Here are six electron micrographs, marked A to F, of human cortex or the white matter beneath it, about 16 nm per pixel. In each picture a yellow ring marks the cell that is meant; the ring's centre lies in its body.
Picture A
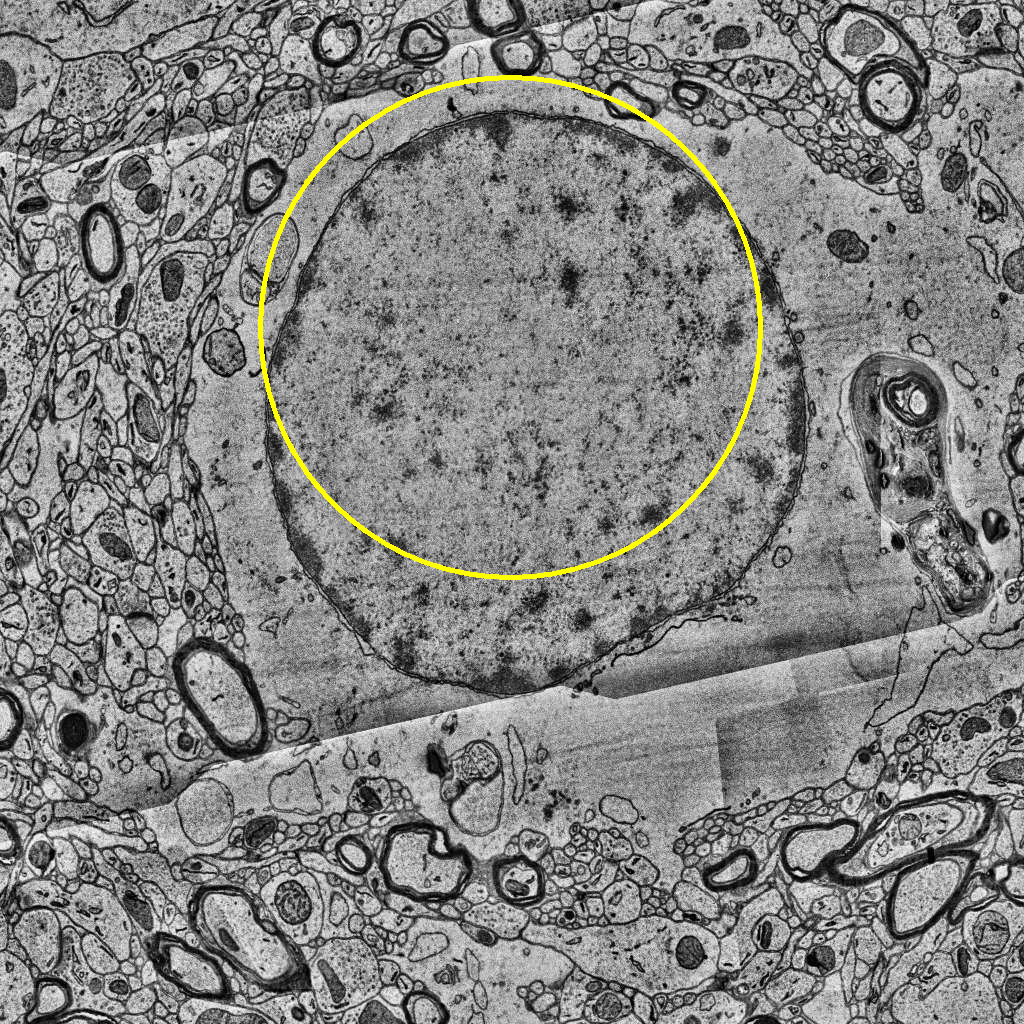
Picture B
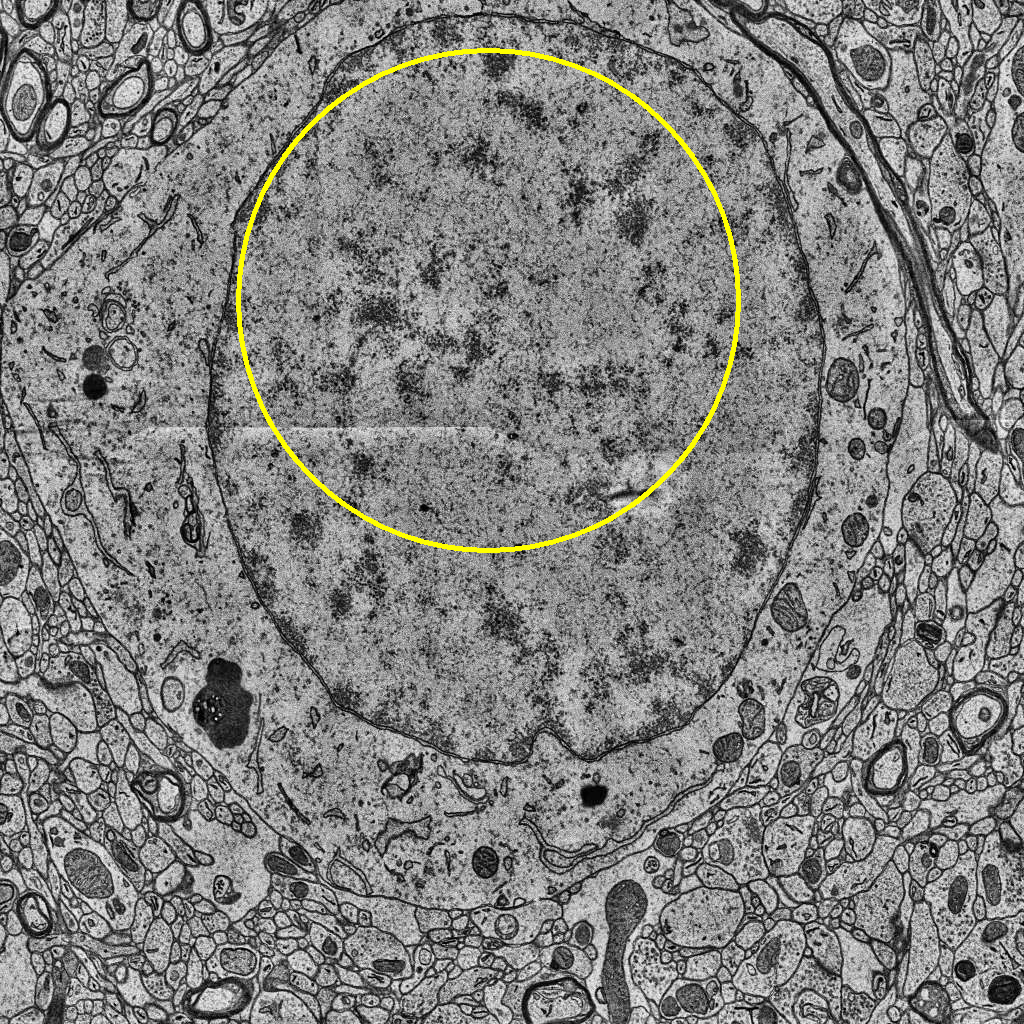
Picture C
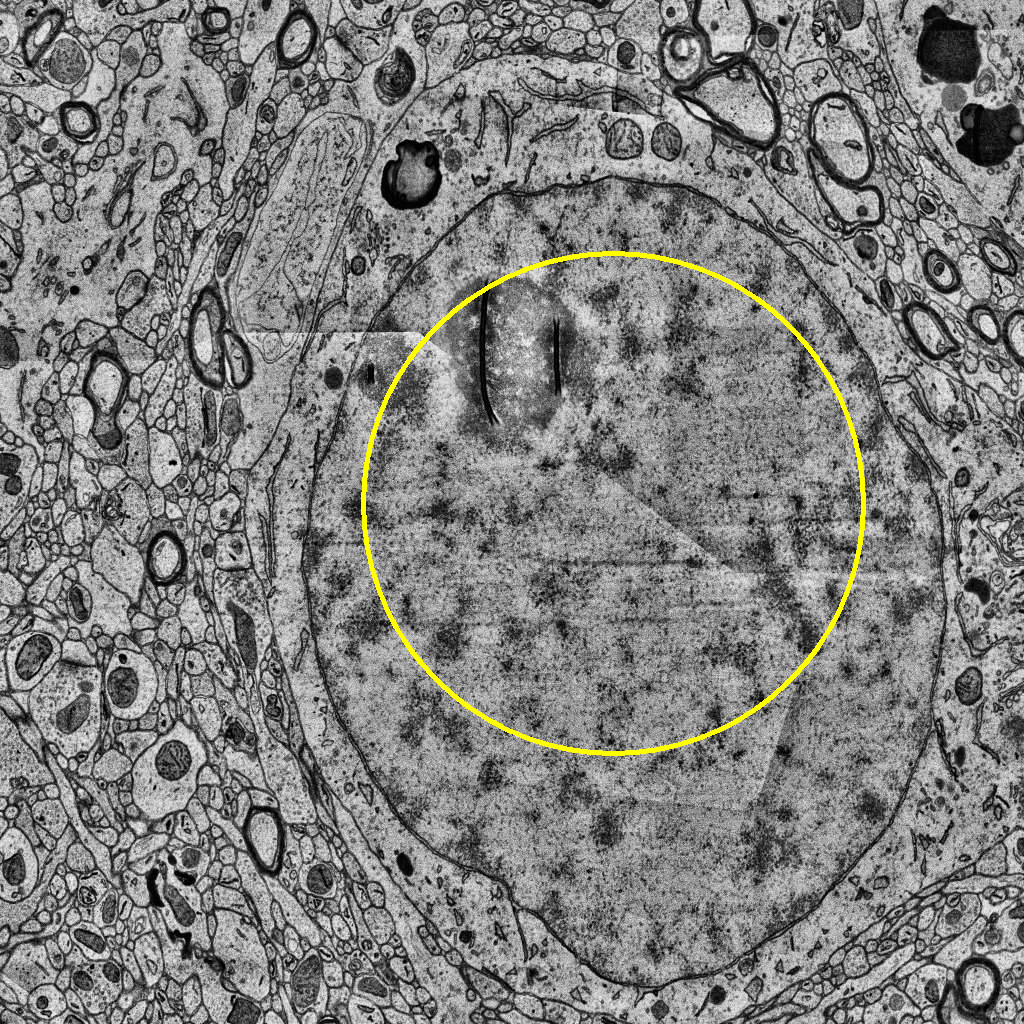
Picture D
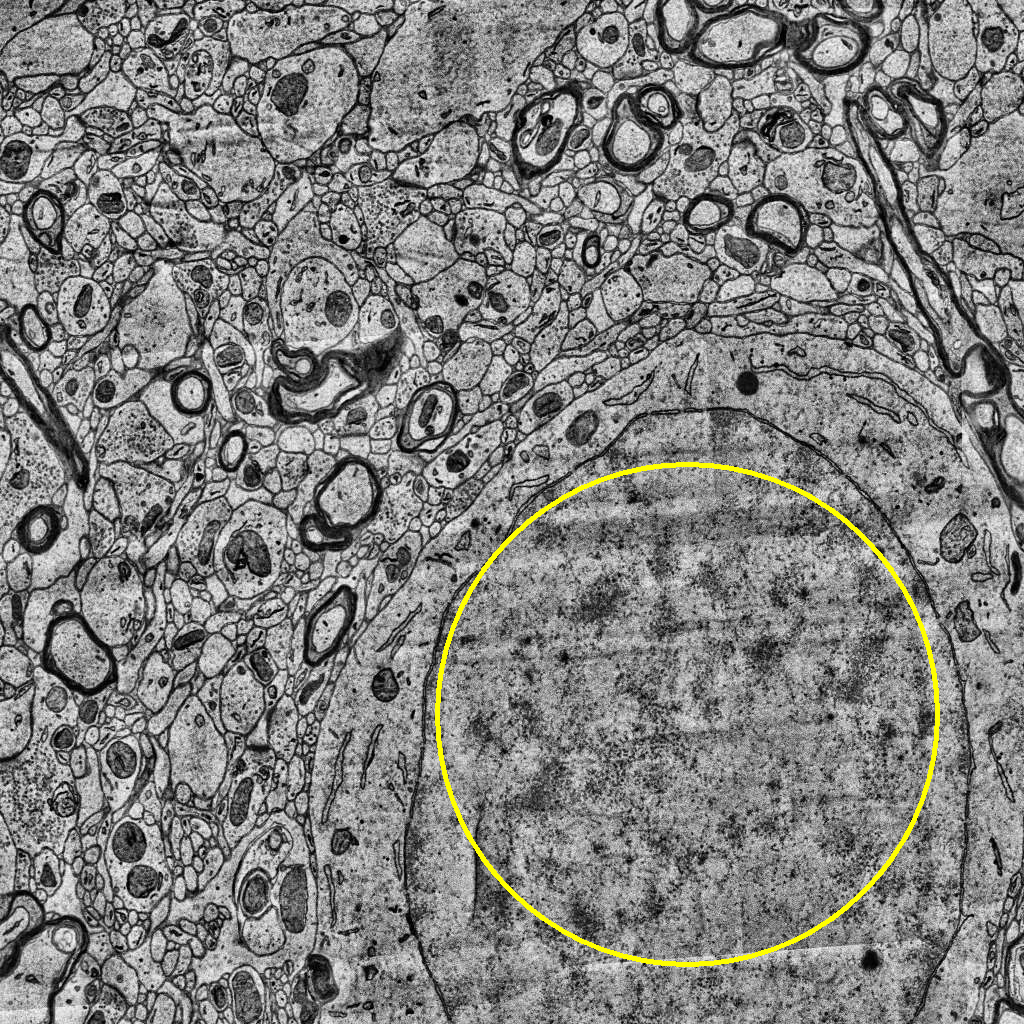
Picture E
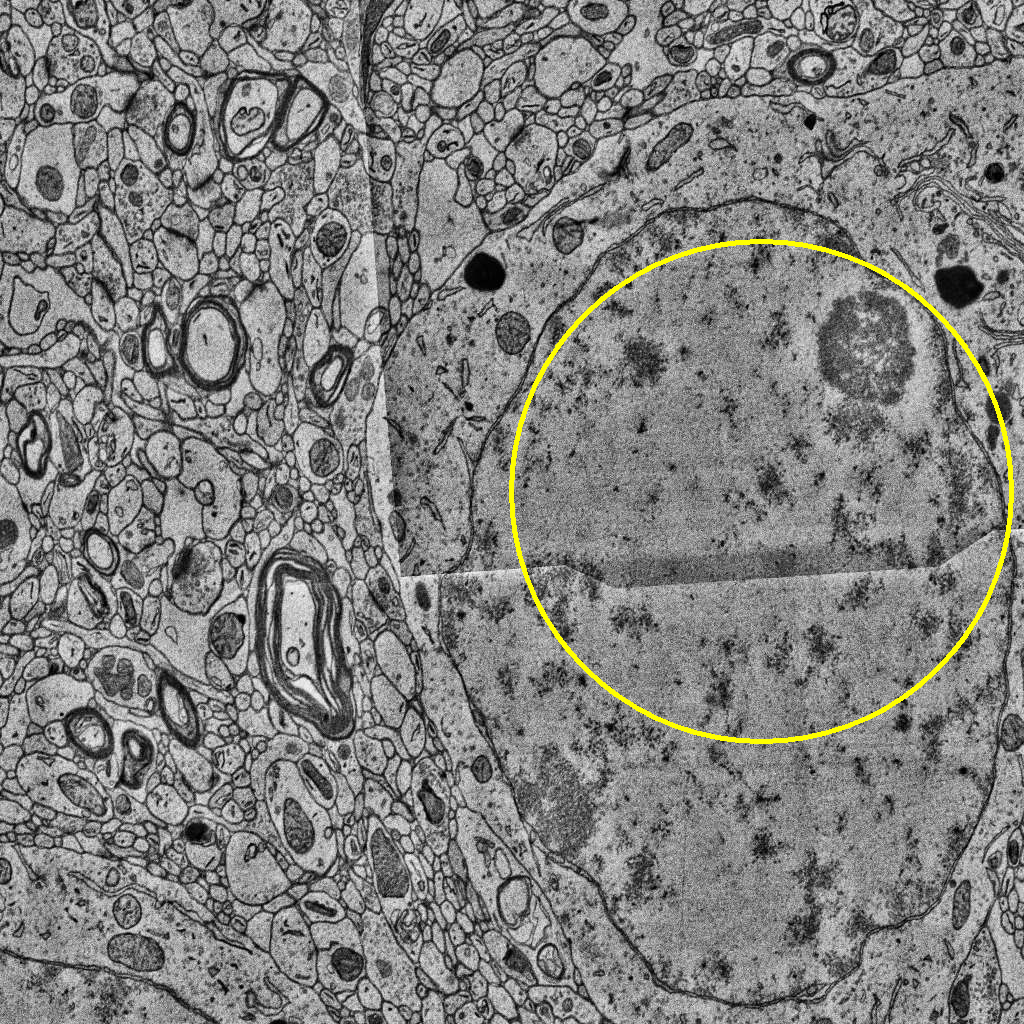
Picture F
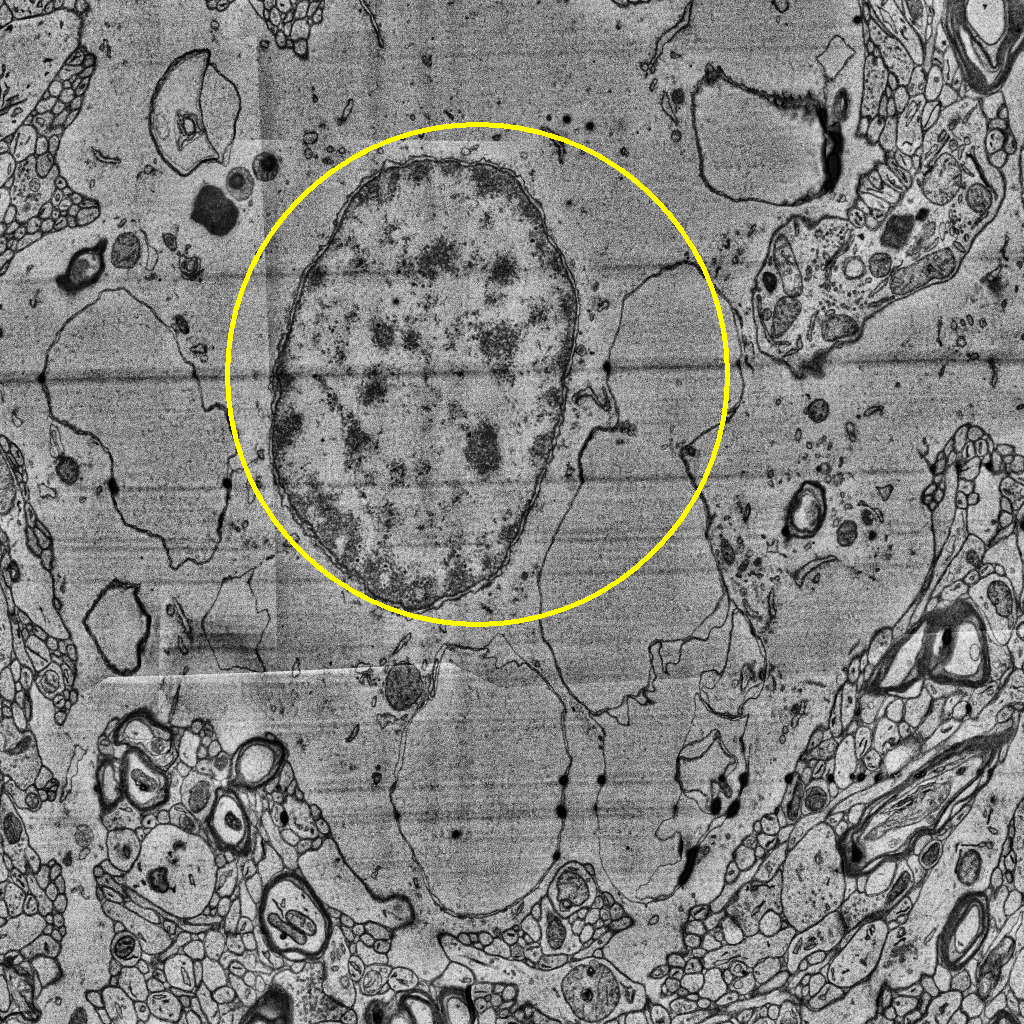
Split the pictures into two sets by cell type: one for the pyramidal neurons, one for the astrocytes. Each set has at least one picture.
Pictures B, C, D and E show pyramidal neurons; pictures A and F show astrocytes.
